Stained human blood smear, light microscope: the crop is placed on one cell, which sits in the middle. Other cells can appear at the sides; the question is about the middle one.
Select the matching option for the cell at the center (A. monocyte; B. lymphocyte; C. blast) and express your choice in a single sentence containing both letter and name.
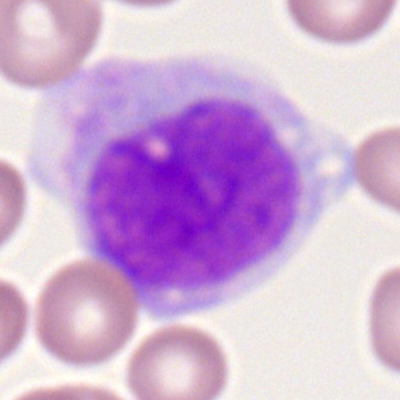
Option C correctly names the cell in the middle as a blast.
